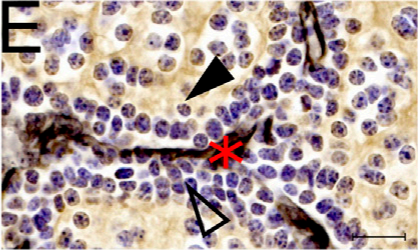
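The cells are small and rounded, with round blue nuclei, often with visible nucleoli, and a modest rim of cytoplasm that is pale to light brown. They are arranged in crowded cords and sheets. A narrow black-stained vessel runs horizontally through the middle, with further black vessel profiles at the edges.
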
